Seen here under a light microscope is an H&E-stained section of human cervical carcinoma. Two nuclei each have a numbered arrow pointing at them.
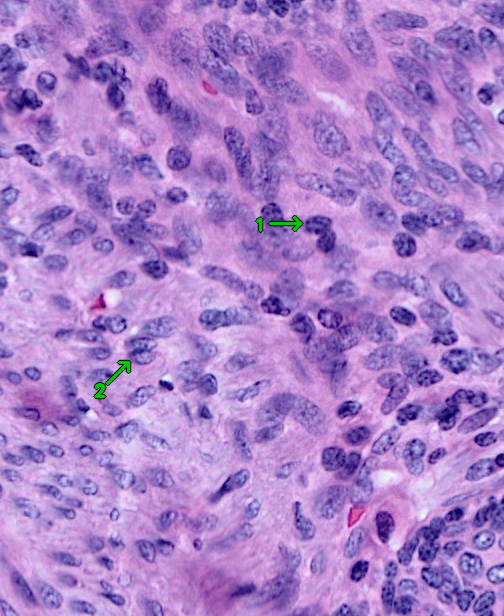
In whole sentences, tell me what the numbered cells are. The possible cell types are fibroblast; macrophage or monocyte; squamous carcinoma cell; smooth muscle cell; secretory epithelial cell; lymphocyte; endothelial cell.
Cell 1 is a lymphocyte. Cell 2 is an endothelial cell.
